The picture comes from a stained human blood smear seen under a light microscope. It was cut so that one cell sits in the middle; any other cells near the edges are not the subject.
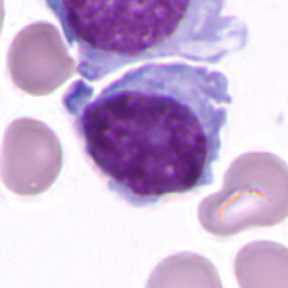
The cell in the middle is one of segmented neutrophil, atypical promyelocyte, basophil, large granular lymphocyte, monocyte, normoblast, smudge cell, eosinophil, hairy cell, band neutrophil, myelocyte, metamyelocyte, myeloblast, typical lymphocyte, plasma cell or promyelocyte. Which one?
plasma cell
